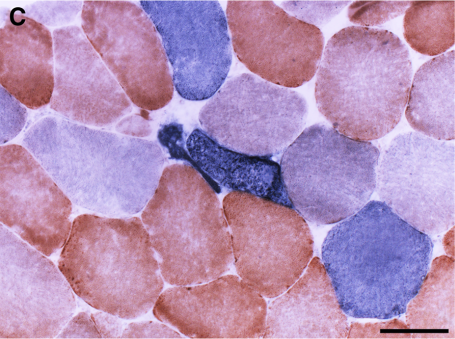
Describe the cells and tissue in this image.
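Skeletal muscle in transverse section, with rounded to polygonal fibres. Most fibres stain brown at varying intensity, while several fibres stain blue.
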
